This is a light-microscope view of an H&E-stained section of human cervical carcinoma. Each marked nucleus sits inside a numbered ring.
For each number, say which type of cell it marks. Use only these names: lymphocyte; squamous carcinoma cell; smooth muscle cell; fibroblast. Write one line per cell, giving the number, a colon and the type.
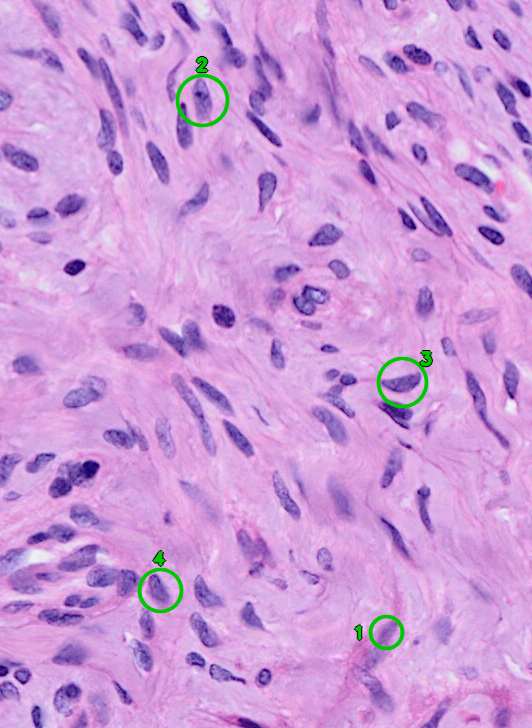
1: smooth muscle cell
2: fibroblast
3: fibroblast
4: fibroblast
